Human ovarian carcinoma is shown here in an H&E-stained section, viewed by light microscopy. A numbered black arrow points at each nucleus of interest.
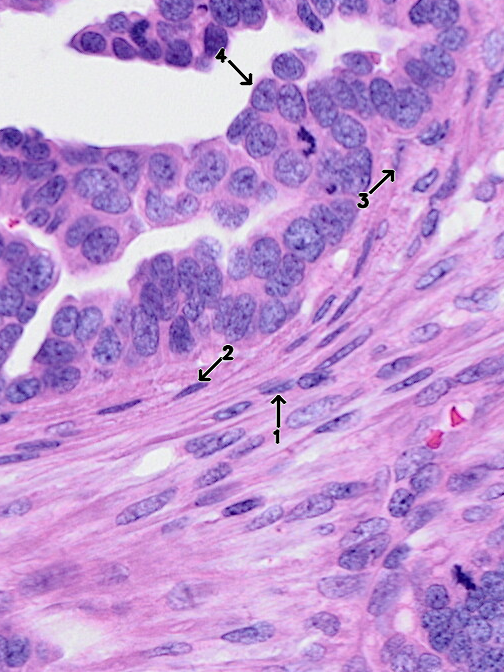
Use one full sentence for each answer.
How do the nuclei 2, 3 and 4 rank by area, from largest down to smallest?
Going from the biggest nucleus down to the smallest gives 4, 2, 3.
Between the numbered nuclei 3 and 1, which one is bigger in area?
Nucleus 1 is the larger one, covering about 2 times the area of nucleus 3.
